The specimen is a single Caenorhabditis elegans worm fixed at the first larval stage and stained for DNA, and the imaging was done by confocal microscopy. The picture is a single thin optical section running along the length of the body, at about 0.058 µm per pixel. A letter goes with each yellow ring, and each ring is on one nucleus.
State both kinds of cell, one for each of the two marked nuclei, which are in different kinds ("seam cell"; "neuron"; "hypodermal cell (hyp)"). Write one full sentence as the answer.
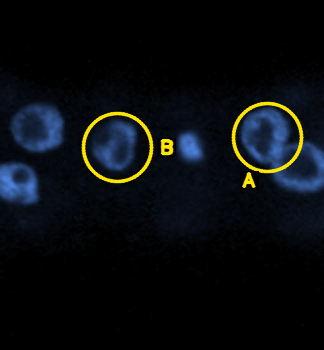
B belongs to a seam cell, and A to a hypodermal cell (hyp).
